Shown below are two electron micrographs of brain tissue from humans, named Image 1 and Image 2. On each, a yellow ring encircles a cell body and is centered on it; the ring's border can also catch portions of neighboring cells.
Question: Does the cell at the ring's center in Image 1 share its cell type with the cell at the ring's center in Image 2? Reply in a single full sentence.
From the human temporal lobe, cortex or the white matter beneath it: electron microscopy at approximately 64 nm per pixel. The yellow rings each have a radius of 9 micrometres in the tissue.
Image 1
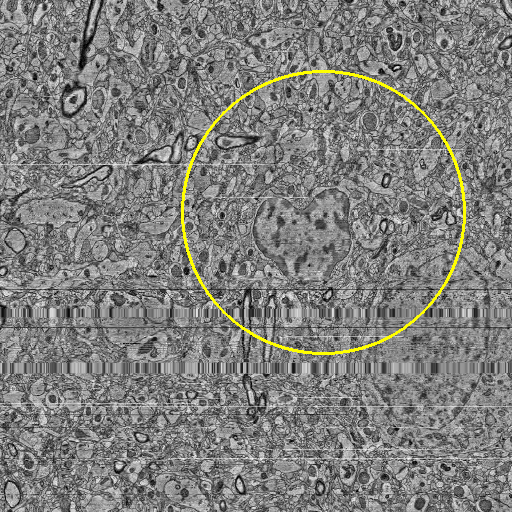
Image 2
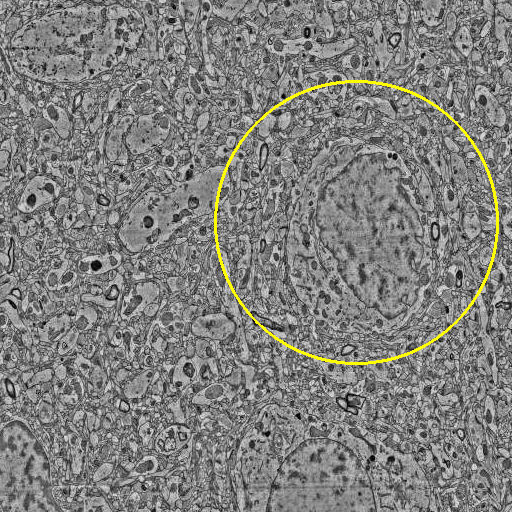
No, the two cells at the ring centers, in Image 1 and Image 2, are of two cell types.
